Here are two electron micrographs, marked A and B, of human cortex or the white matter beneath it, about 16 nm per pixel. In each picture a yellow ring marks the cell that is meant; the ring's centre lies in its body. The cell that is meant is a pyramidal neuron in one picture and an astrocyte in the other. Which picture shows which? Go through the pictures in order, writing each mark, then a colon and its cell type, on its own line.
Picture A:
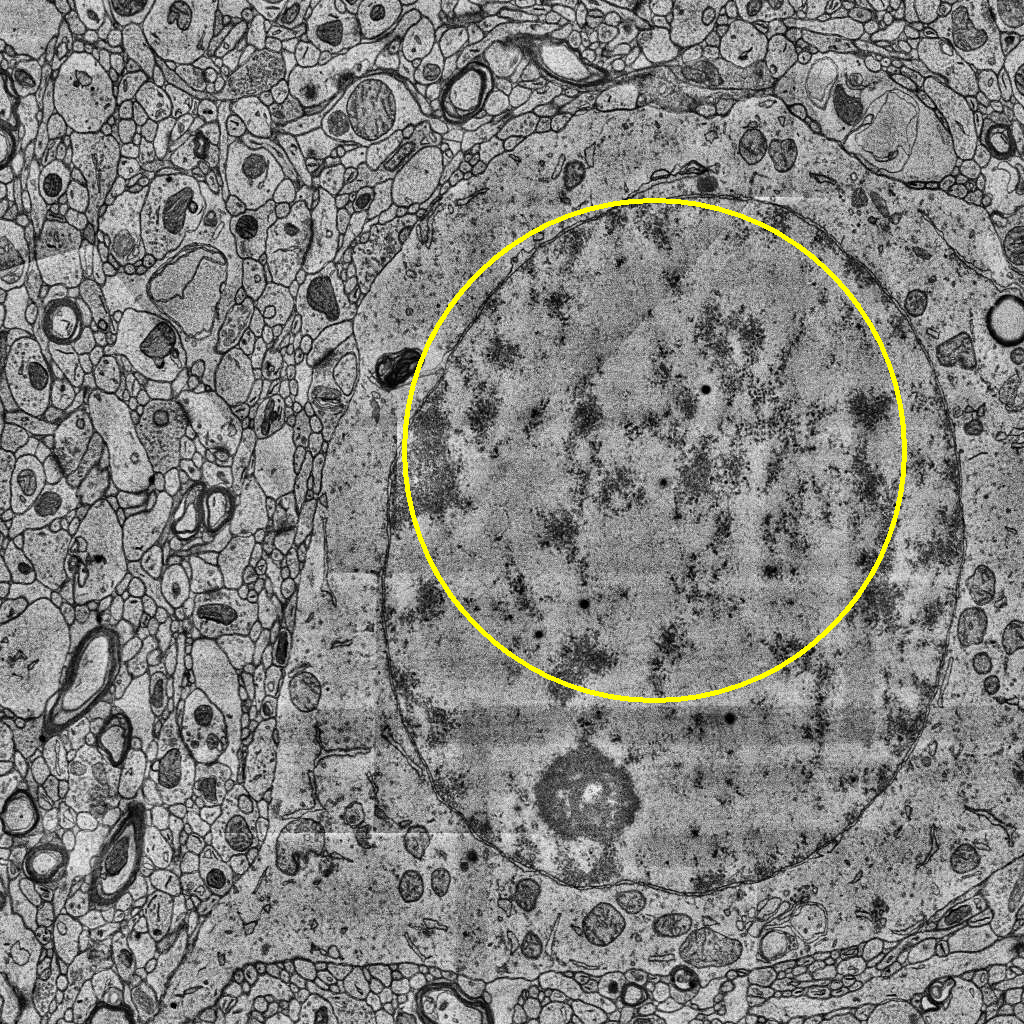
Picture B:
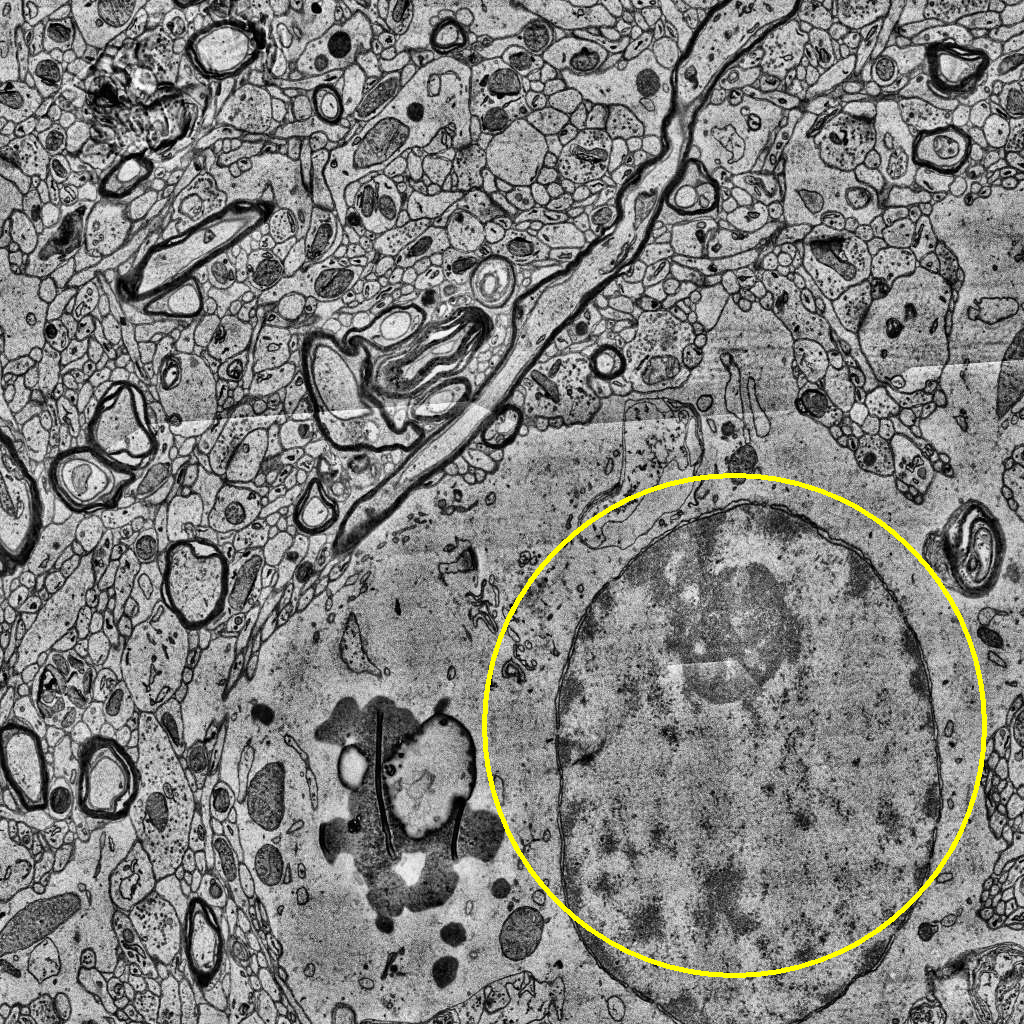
A: pyramidal neuron
B: astrocyte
